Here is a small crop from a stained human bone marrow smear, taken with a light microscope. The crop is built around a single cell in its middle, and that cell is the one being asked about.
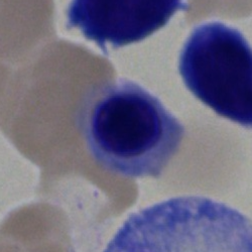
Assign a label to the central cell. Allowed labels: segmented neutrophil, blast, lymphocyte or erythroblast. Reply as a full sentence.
Occupying the centre of the crop is an erythroblast.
